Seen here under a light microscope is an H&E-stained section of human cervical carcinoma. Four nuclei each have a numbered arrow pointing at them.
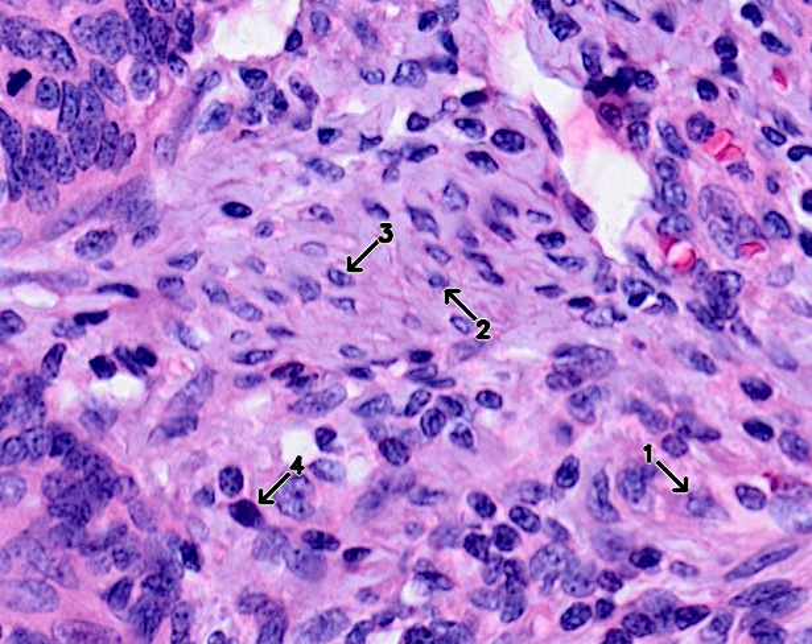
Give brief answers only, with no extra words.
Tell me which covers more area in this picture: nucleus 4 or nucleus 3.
4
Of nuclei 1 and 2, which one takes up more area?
1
